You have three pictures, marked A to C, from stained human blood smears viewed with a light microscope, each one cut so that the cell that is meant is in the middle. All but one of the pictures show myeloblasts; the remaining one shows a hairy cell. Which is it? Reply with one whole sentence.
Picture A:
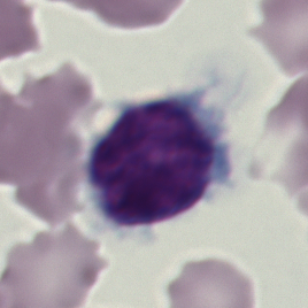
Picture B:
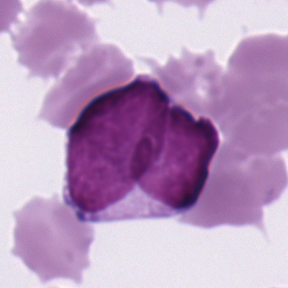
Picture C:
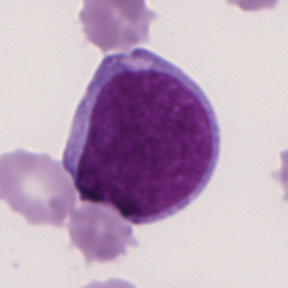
The picture with the hairy cell is A.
